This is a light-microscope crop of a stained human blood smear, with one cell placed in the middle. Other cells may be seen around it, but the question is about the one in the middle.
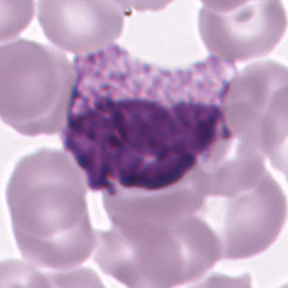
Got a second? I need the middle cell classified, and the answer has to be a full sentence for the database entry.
What the crop centres on is a basophil.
